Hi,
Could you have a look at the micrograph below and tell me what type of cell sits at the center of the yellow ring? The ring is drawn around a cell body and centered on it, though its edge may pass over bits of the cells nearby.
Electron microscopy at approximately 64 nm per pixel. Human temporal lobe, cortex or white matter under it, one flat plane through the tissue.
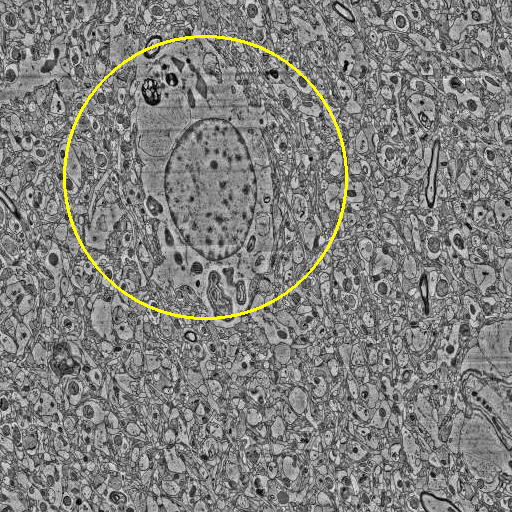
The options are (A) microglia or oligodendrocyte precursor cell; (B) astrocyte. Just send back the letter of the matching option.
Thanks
B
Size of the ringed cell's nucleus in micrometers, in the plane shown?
The ringed cell's nucleus is roughly 9 by 6 micrometres and clearly longer than it is wide in this plane.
